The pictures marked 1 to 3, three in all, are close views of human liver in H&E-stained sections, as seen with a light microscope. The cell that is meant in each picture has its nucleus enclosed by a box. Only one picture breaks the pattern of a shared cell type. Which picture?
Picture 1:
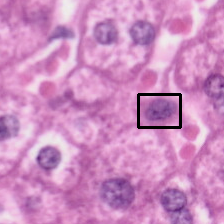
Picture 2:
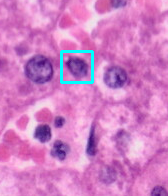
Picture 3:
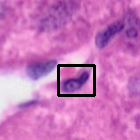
2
